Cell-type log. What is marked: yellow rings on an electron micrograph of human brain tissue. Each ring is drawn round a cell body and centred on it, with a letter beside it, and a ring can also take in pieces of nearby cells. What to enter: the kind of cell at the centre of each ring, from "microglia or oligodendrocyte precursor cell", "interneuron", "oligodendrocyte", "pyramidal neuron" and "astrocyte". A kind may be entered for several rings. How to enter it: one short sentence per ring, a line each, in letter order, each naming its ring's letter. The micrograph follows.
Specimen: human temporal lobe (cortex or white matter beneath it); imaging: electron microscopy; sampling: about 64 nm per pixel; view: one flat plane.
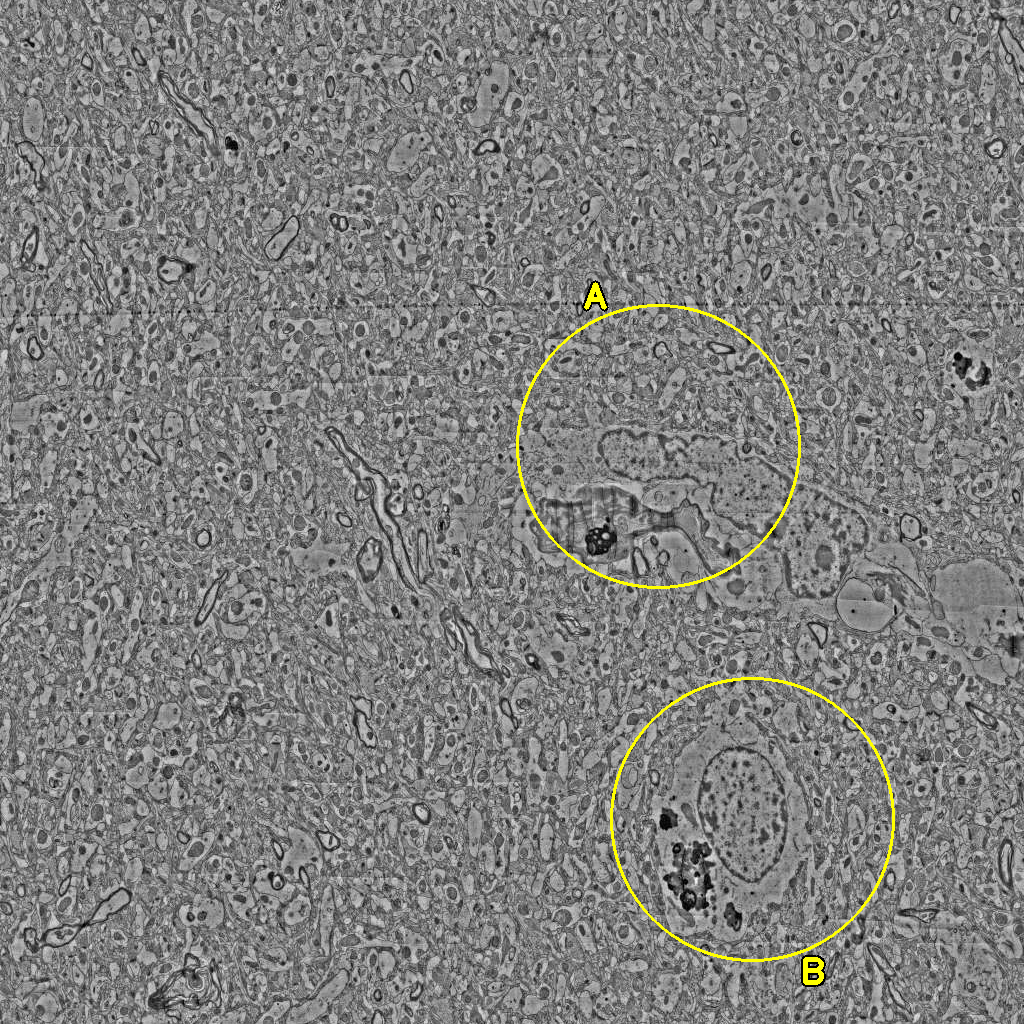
For ring A, the centre cell is a microglial cell or oligodendrocyte precursor cell.
For ring B, the centre cell is an astrocyte.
